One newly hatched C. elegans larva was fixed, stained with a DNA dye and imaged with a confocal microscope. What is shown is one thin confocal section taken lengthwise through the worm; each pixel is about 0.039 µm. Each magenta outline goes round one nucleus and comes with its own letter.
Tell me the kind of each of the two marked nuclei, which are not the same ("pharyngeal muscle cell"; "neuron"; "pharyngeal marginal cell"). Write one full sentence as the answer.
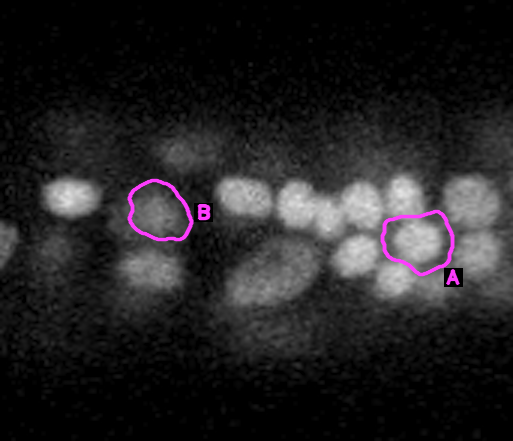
A is in a neuron and B is in a pharyngeal muscle cell.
